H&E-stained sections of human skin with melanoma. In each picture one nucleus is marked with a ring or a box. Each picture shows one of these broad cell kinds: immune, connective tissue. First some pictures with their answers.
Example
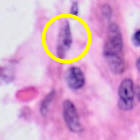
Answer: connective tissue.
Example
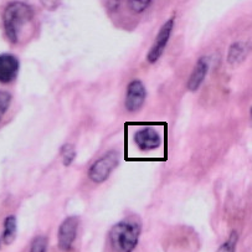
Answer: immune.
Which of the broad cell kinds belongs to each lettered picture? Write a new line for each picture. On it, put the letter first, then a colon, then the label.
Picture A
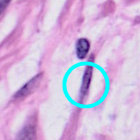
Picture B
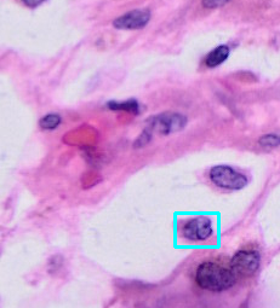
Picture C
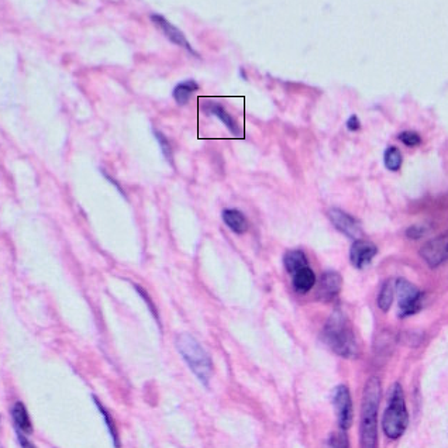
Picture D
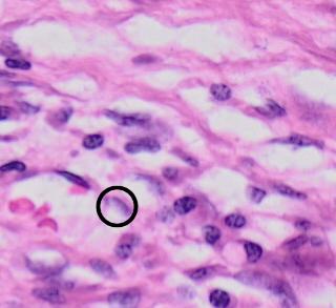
A: connective tissue.
B: immune.
C: connective tissue.
D: connective tissue.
